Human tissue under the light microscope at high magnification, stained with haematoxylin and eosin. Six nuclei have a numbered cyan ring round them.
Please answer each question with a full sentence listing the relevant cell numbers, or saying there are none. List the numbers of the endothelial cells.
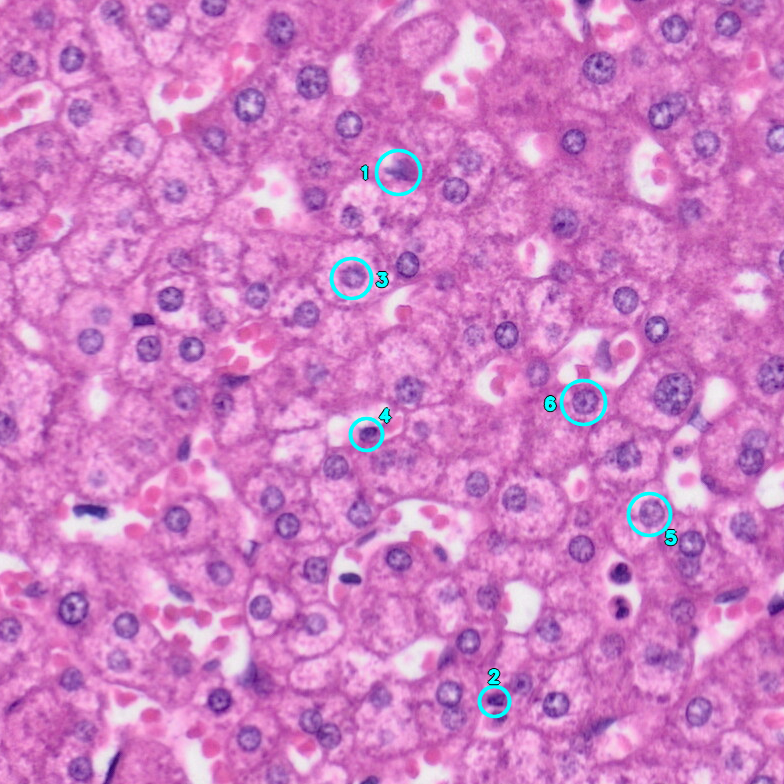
Only the cell marked 1 is an endothelial cell.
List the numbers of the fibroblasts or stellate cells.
Of the marked cells, the one numbered 2 is a fibroblast or stellate cell and the rest are not.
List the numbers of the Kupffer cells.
Only the cell with the number 4 is a Kupffer cell.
